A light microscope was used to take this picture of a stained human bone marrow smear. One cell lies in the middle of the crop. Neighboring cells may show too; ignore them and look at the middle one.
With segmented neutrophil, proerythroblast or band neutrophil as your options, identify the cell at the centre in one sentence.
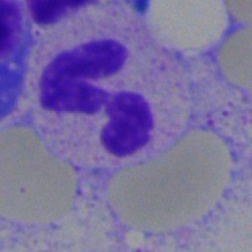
Here the centrally located cell is a segmented neutrophil.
